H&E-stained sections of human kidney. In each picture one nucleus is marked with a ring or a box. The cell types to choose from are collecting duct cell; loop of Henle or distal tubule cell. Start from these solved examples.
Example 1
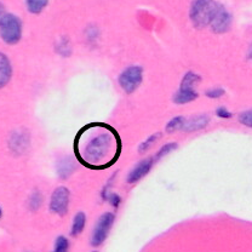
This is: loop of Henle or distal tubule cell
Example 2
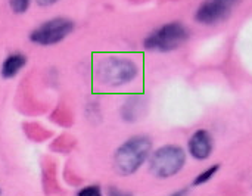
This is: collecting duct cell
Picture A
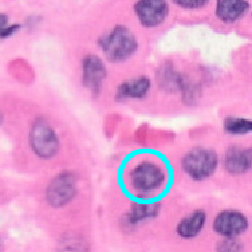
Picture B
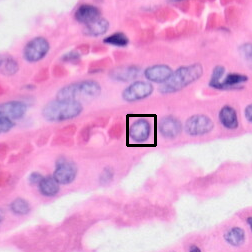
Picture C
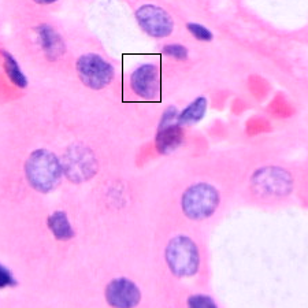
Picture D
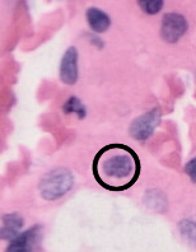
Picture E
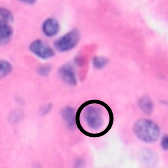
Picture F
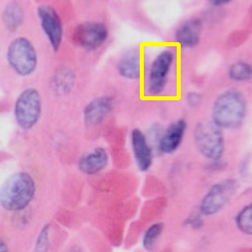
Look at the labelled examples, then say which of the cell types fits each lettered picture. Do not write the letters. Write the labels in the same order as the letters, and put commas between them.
collecting duct cell, collecting duct cell, loop of Henle or distal tubule cell, loop of Henle or distal tubule cell, loop of Henle or distal tubule cell, loop of Henle or distal tubule cell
